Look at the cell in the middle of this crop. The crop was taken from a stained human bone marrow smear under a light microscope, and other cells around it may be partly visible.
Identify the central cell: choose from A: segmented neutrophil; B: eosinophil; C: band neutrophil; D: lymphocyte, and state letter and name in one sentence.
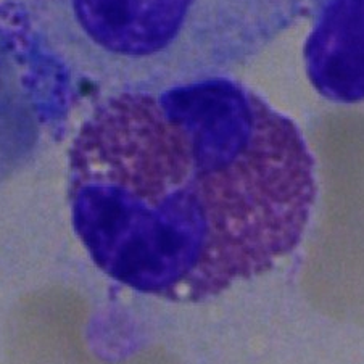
Option B is the correct option, with the middle cell being an eosinophil.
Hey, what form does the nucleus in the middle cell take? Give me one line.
Multiple nuclear lobes, two or more, can be counted in this cell.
